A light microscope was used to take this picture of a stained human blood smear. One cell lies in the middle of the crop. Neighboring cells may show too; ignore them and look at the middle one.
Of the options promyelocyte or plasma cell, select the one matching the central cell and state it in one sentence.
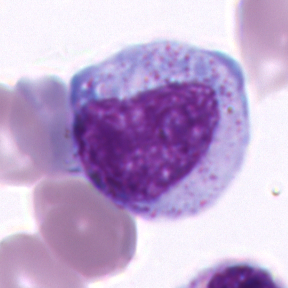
The middle of this crop is occupied by a promyelocyte.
